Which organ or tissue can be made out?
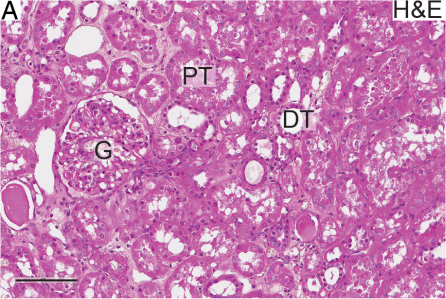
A: Normal kidney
